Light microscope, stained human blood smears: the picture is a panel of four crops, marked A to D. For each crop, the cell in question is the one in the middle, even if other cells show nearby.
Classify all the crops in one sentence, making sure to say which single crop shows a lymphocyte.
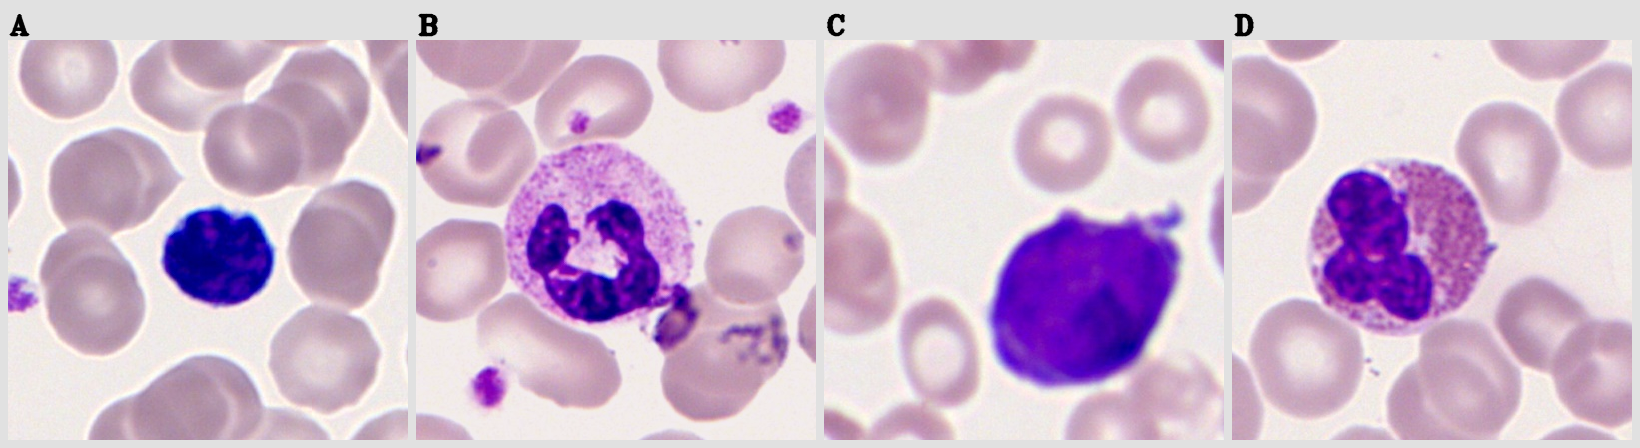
Crop by crop: crop A is a lymphocyte, while crop B is a segmented neutrophil, crop C is a myeloblast and crop D is an eosinophil.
